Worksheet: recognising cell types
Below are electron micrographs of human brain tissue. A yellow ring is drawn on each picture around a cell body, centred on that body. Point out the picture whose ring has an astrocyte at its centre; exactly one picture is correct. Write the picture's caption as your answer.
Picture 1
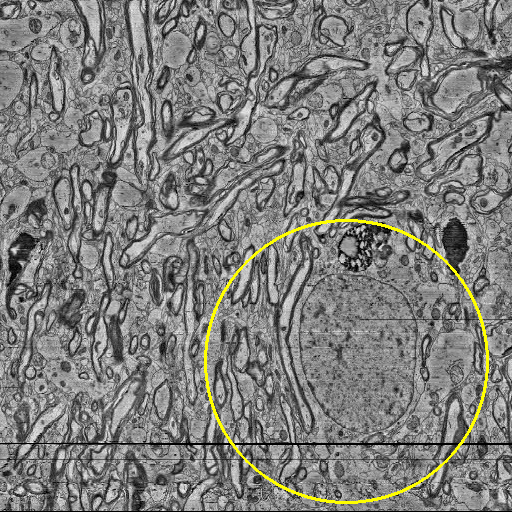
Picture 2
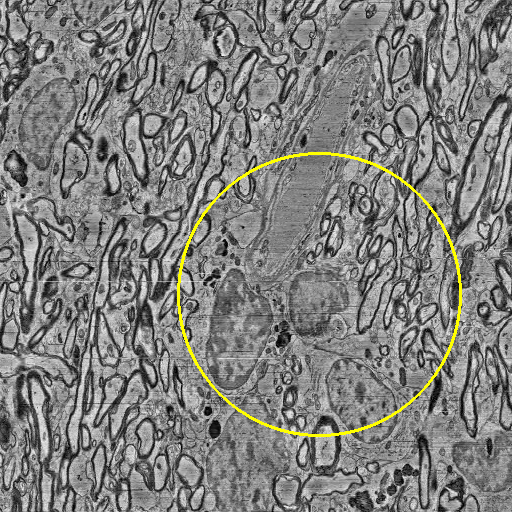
Picture 1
